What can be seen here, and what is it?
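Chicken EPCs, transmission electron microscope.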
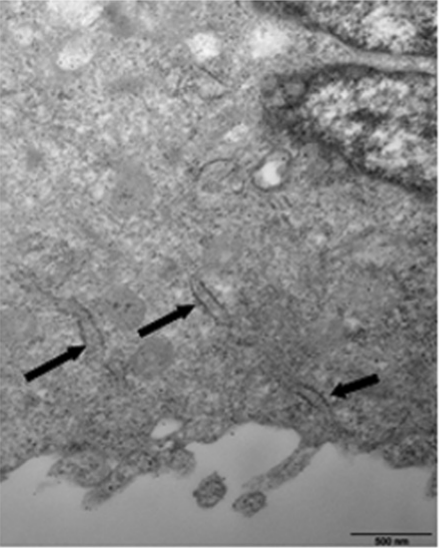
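This electron micrograph shows part of an endothelial cell, with the edge of its nucleus and its condensed chromatin at the upper right and the cell surface bearing short finger-like projections at the bottom. Scattered through the granular cytoplasm are several small elongated, rod-shaped membrane-bound organelles, the Weibel-Palade bodies, along with small vesicles.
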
